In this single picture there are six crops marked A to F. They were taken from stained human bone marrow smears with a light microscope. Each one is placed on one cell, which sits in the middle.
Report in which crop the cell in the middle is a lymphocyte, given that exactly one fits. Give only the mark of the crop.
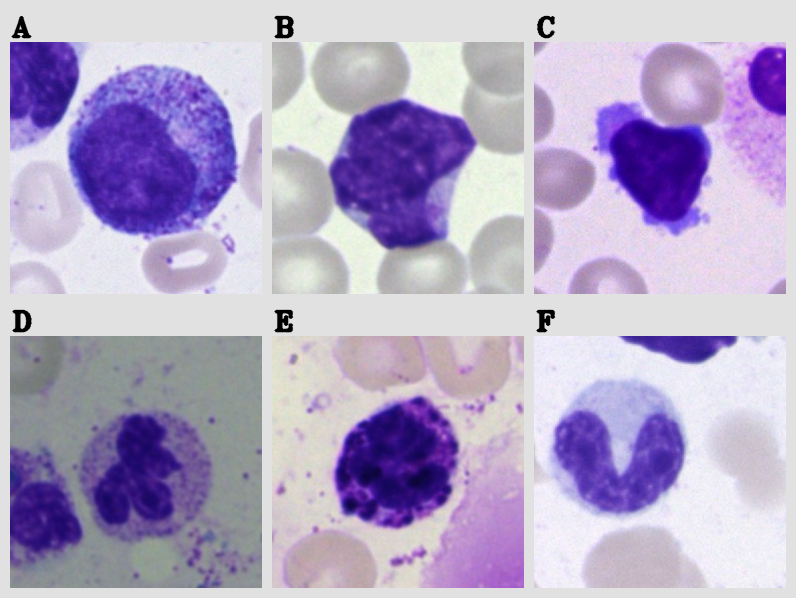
C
